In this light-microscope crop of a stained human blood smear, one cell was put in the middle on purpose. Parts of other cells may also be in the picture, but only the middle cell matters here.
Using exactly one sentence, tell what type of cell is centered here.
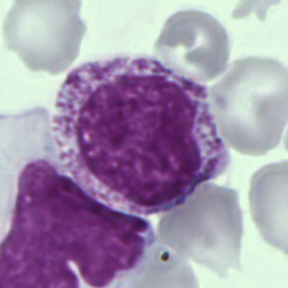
In this smear crop, the middle cell is a myelocyte.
